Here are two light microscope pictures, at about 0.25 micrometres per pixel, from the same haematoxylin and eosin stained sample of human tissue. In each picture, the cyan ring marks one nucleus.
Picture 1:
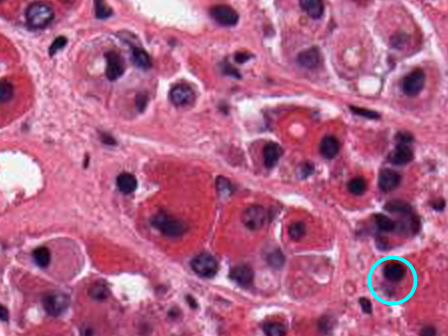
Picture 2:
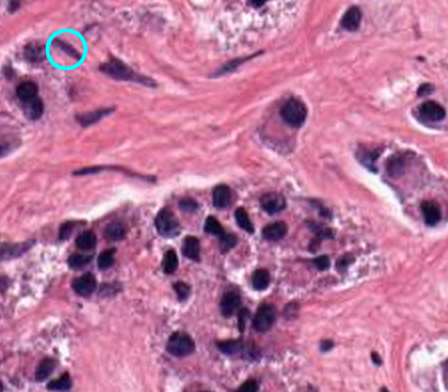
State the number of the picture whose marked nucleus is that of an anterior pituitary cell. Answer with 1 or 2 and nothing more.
1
